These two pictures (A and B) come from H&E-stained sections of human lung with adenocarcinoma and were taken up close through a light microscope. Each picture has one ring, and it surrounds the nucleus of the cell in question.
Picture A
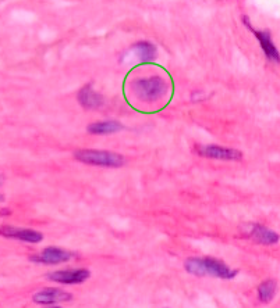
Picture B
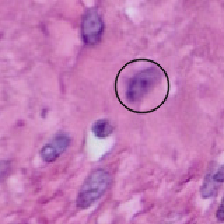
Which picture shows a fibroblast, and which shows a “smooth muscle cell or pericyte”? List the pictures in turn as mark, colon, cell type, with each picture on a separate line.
A: smooth muscle cell or pericyte
B: fibroblast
